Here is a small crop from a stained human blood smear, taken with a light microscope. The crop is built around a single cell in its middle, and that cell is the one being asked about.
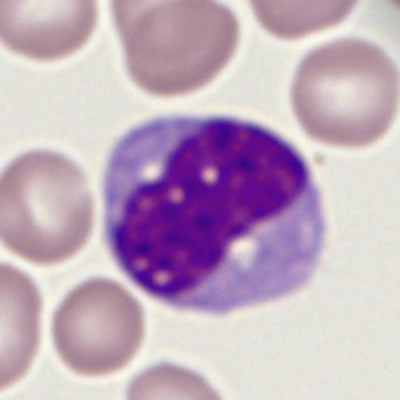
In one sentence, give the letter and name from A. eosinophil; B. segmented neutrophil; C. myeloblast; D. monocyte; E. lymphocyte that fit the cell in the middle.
Option D holds, for the cell in the middle is a monocyte.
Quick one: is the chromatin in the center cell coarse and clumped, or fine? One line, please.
The nucleus shows chromatin that is coarsely clumped.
